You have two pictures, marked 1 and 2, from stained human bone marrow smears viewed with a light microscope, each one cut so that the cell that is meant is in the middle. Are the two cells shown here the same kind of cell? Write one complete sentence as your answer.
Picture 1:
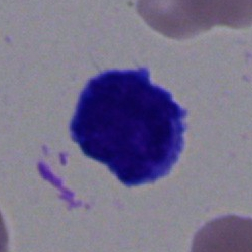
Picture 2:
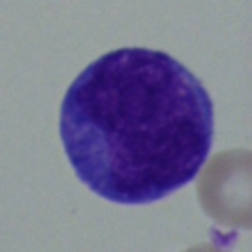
Yes, both cells are blasts.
